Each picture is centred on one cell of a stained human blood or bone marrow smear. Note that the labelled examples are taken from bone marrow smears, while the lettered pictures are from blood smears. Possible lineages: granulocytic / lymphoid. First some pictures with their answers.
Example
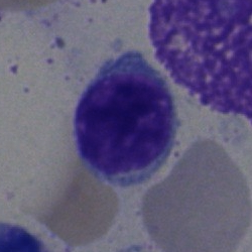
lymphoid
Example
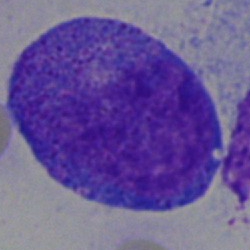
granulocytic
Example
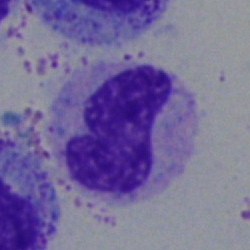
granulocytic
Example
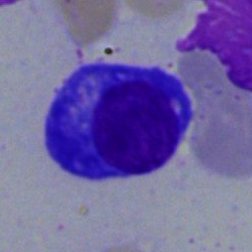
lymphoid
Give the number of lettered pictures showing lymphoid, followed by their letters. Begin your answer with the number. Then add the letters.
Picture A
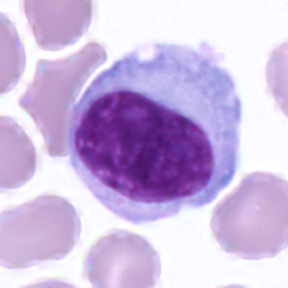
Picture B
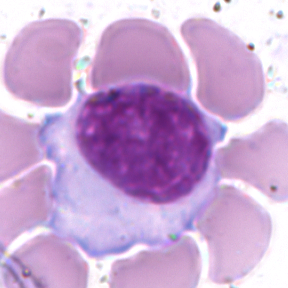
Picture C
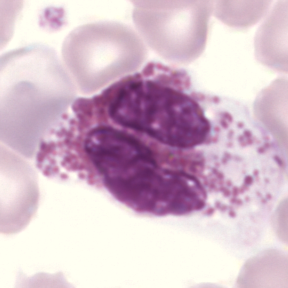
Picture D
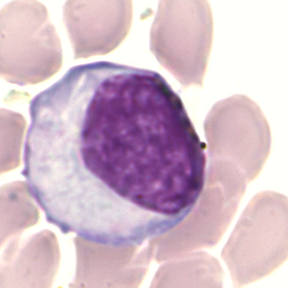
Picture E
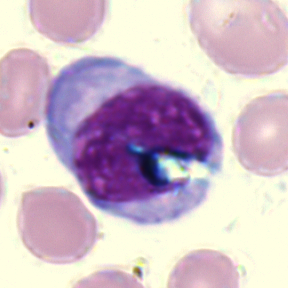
4: A, B, D, E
